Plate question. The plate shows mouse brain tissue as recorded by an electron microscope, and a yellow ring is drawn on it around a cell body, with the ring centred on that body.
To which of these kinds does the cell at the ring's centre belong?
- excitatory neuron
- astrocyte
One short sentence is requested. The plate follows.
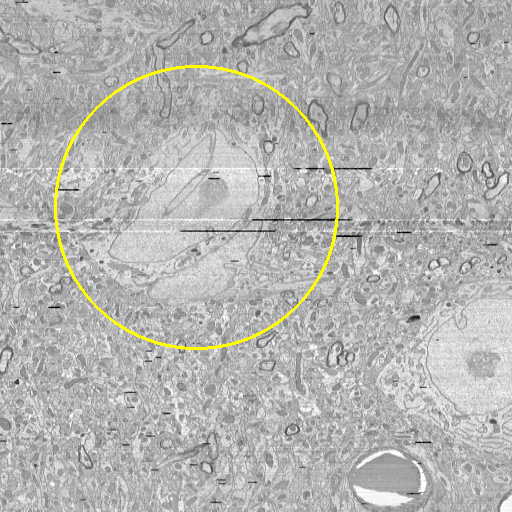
The cell at the ring's centre is an excitatory neuron.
